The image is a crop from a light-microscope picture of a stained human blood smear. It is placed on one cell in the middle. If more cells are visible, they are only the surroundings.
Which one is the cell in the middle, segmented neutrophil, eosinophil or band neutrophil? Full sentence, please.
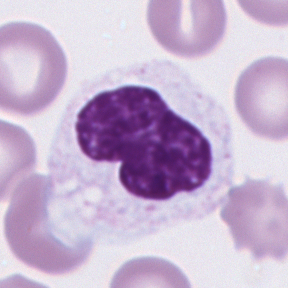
As for the central cell, it is a band neutrophil.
